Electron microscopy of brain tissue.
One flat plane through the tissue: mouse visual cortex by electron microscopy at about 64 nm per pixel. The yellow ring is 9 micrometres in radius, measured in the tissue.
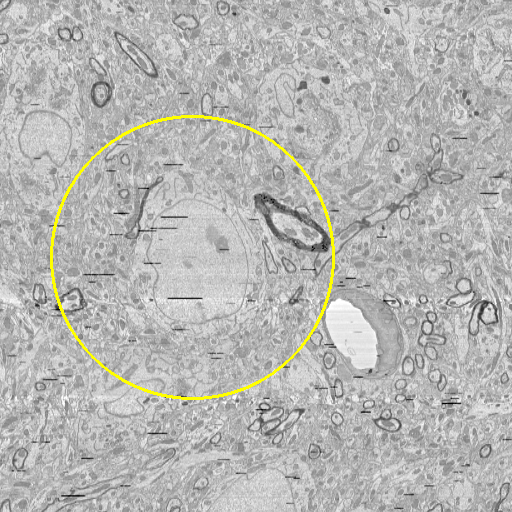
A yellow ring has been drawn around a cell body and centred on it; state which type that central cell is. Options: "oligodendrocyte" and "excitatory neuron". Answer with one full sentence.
The cell at the middle of the yellow ring is an excitatory neuron in this picture.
